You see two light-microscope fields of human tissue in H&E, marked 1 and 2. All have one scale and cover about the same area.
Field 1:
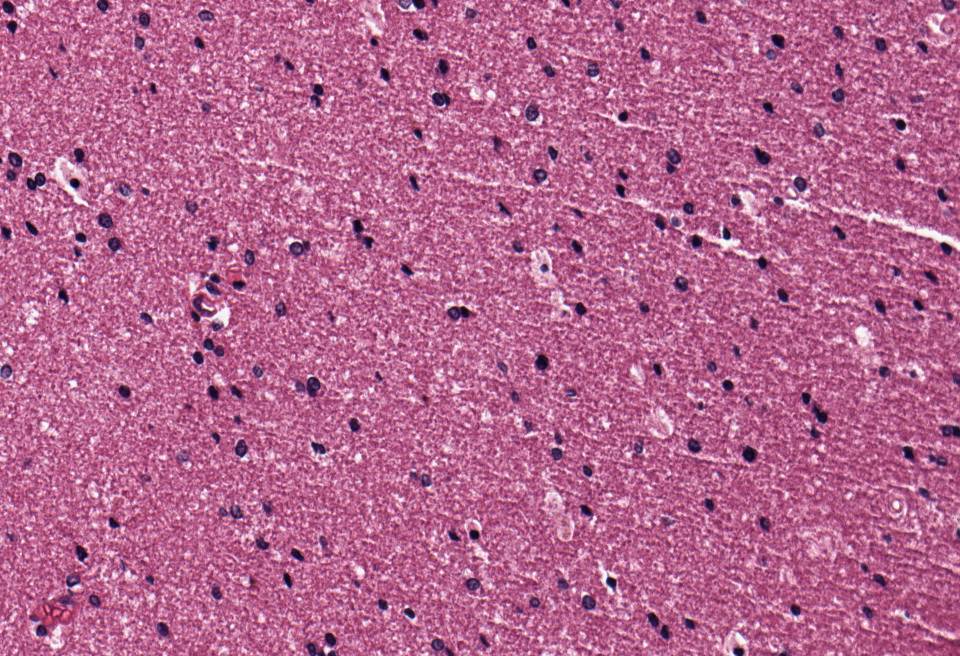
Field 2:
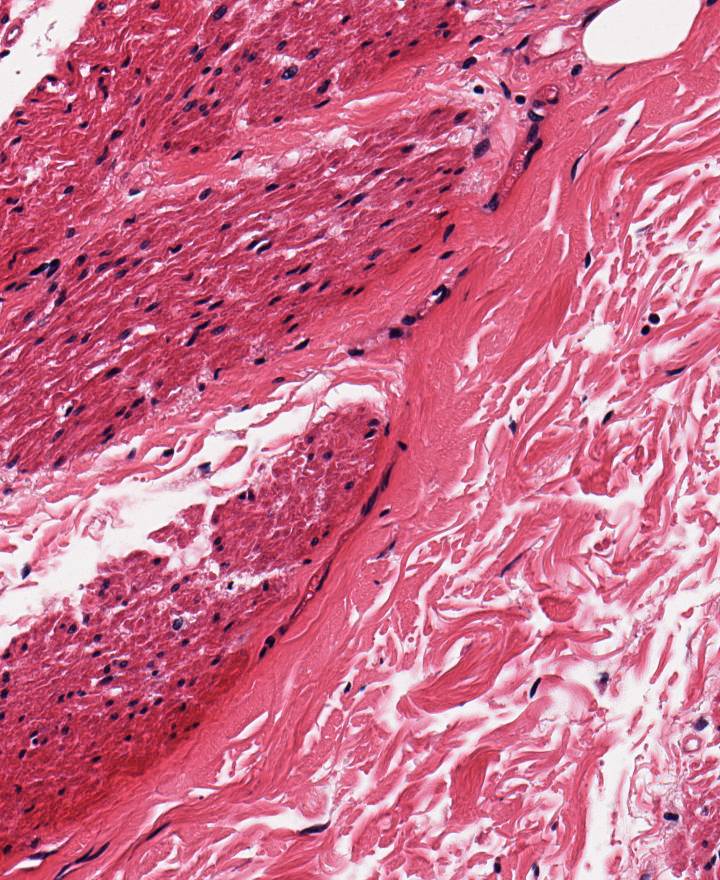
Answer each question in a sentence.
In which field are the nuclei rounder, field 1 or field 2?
The nuclei are rounder in field 1.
